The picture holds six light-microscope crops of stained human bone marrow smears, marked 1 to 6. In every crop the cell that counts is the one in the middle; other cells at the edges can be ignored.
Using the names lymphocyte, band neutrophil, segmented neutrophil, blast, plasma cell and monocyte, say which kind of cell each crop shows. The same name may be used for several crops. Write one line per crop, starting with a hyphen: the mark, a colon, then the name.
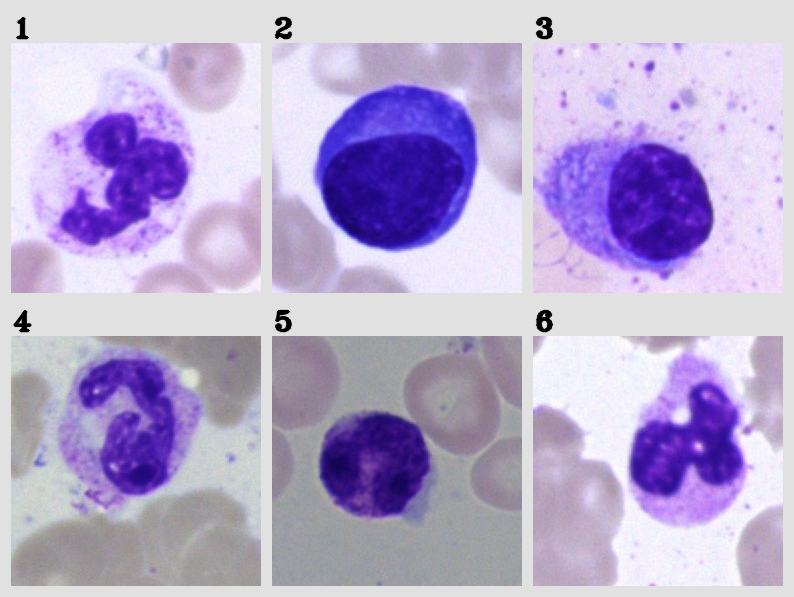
- 1: segmented neutrophil
- 2: plasma cell
- 3: plasma cell
- 4: segmented neutrophil
- 5: segmented neutrophil
- 6: segmented neutrophil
